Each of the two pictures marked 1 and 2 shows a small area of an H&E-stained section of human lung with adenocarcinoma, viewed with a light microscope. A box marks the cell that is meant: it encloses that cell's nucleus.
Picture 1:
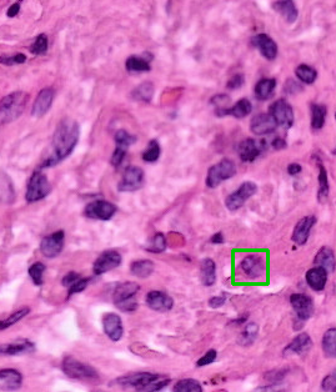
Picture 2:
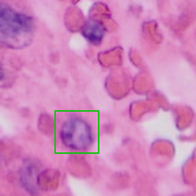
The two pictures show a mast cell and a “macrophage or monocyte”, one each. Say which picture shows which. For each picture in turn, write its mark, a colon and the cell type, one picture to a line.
1: mast cell
2: macrophage or monocyte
